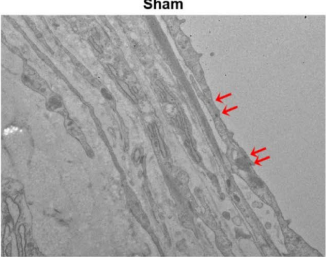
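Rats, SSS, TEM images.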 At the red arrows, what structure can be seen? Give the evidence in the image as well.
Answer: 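Tight junctions. The contacts lie in thin flattened cells lining the pale lumen surface.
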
